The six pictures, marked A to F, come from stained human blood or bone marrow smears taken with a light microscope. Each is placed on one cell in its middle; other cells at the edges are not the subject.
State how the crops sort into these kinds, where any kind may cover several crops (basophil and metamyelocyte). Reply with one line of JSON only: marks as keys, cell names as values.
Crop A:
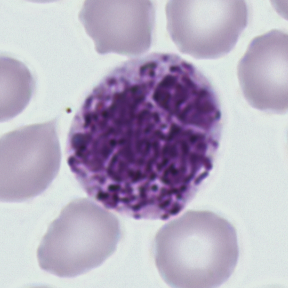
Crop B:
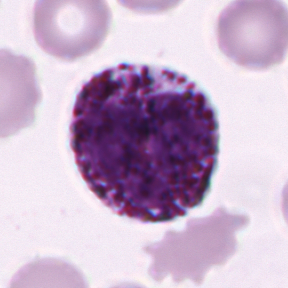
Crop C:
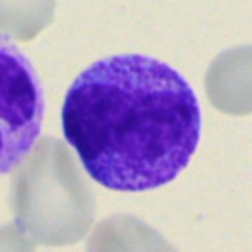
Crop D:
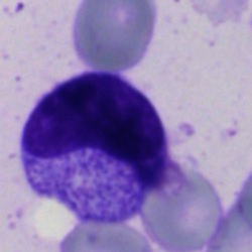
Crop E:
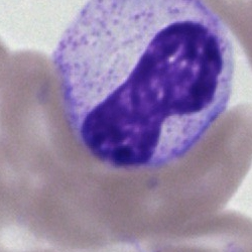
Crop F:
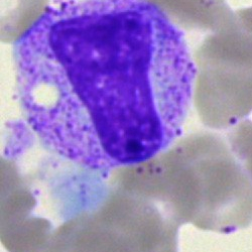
{"A": "basophil", "B": "basophil", "C": "metamyelocyte", "D": "metamyelocyte", "E": "metamyelocyte", "F": "metamyelocyte"}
